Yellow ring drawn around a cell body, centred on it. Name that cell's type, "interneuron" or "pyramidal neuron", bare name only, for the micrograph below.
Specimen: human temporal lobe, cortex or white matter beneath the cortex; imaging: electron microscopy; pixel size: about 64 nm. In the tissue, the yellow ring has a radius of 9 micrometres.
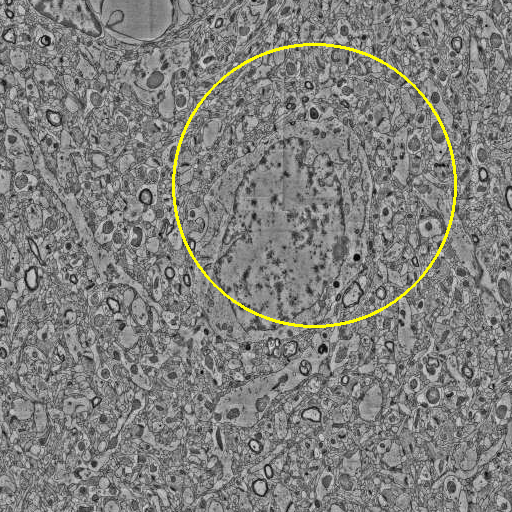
interneuron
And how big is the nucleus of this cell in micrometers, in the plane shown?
The nucleus of the ringed cell is clearly longer than it is wide in this plane, about 12 by 8 micrometres.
